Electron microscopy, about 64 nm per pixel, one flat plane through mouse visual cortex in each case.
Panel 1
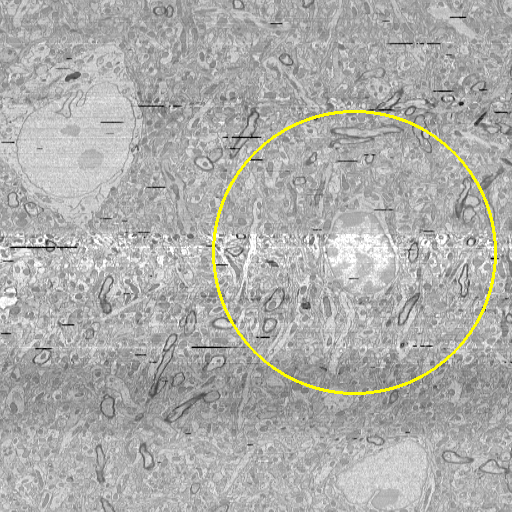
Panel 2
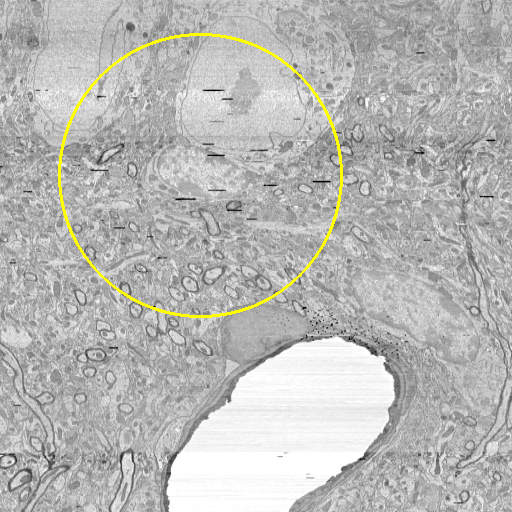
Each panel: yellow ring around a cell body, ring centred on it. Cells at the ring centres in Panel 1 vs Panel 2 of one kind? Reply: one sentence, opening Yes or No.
Yes, Panel 1 and Panel 2 have cells of one kind at the ring centres.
